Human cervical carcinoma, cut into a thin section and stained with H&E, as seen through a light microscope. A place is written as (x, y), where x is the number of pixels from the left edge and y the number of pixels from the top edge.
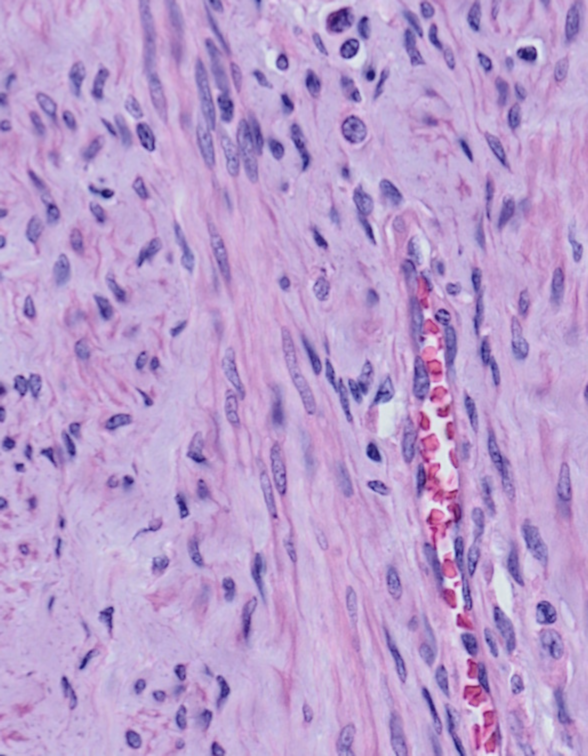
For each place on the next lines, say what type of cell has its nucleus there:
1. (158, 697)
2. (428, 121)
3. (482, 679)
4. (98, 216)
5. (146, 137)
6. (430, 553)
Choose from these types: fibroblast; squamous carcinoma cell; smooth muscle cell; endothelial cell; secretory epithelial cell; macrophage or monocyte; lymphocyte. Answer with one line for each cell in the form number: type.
1: smooth muscle cell
2: smooth muscle cell
3: endothelial cell
4: smooth muscle cell
5: lymphocyte
6: endothelial cell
